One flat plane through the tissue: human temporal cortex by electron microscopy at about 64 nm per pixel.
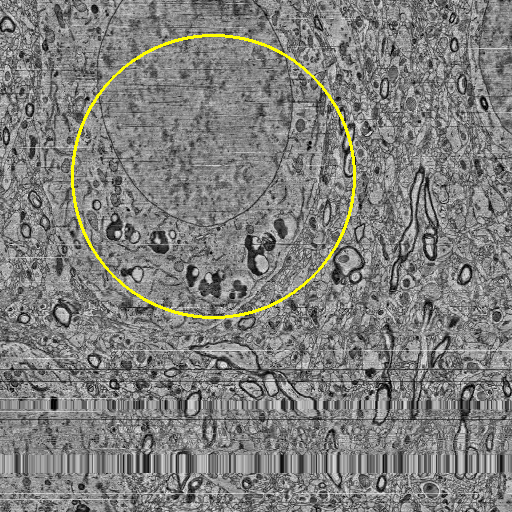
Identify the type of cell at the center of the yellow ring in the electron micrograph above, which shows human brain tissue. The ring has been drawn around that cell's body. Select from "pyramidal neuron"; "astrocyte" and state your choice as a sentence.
The yellow ring is centered on the body of a pyramidal neuron.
